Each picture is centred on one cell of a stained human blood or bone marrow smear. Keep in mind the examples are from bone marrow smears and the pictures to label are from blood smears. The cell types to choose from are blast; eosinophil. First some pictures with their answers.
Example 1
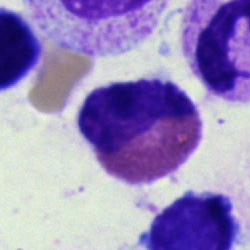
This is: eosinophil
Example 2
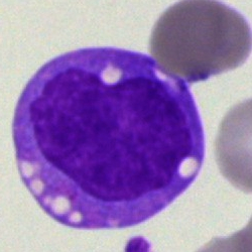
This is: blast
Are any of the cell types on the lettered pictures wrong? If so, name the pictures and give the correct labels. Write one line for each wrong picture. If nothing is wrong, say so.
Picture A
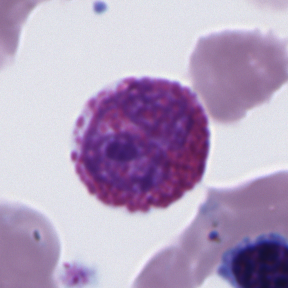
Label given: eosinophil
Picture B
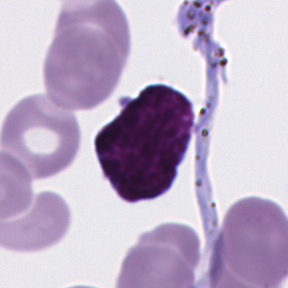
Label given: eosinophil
B should be blast, not eosinophil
